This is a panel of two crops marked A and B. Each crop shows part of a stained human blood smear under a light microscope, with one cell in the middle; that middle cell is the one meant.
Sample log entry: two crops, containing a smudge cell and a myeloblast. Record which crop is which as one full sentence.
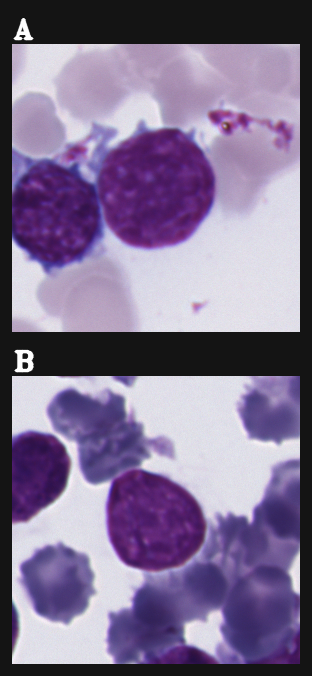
Respectively, crops A and B show a myeloblast and a smudge cell.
